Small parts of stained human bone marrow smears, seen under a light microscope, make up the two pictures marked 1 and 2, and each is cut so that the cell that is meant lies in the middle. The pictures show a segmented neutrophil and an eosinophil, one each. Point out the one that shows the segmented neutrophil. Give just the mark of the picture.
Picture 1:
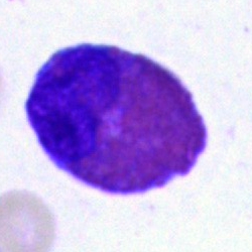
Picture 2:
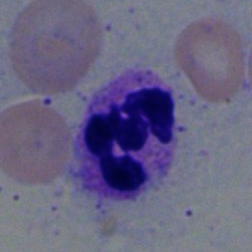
2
